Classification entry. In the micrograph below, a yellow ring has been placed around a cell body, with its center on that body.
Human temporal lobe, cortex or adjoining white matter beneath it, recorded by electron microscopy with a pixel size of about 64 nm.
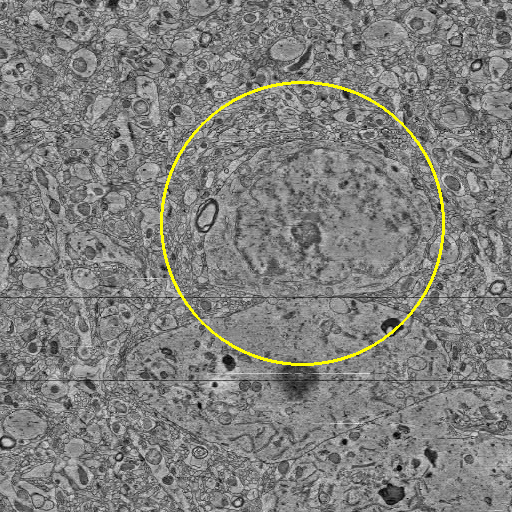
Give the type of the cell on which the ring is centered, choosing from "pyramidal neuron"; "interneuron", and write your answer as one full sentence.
The cell body at the center of the yellow ring belongs to an interneuron.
